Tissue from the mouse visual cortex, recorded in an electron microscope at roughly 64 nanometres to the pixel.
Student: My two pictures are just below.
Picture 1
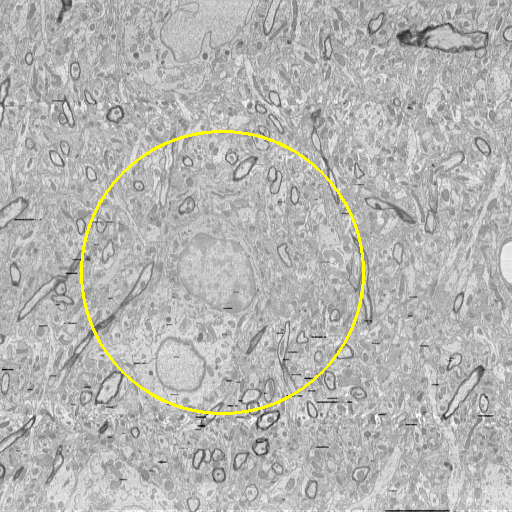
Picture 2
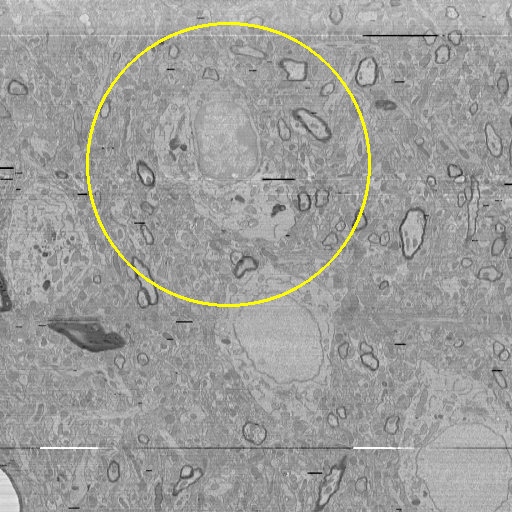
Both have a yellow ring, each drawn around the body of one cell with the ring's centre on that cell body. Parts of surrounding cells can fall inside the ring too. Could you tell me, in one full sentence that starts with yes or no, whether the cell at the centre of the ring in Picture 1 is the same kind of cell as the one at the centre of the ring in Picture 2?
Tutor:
Yes, the two cells are of the same kind.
